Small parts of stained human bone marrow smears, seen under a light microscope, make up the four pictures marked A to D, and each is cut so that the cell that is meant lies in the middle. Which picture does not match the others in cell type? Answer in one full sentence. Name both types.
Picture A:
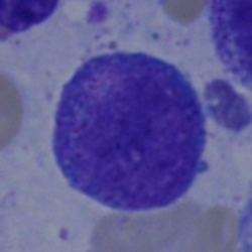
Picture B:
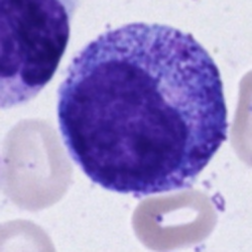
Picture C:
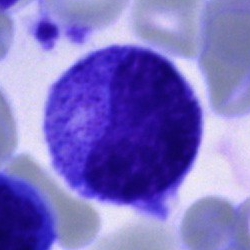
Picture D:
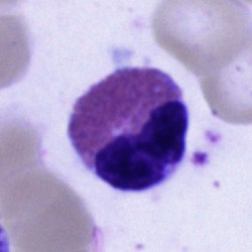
The different one is picture D; it shows an eosinophil, whereas all the others show promyelocytes.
